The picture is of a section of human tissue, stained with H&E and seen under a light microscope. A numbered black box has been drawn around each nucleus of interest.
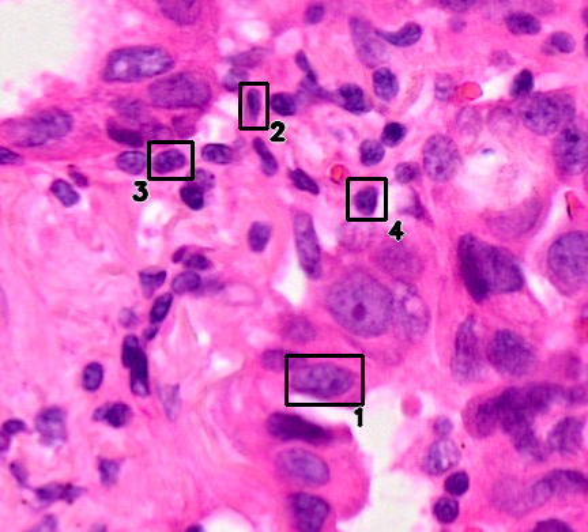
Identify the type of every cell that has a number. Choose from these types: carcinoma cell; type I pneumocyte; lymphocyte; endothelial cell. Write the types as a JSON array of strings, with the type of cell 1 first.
["carcinoma cell", "lymphocyte", "lymphocyte", "lymphocyte"]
